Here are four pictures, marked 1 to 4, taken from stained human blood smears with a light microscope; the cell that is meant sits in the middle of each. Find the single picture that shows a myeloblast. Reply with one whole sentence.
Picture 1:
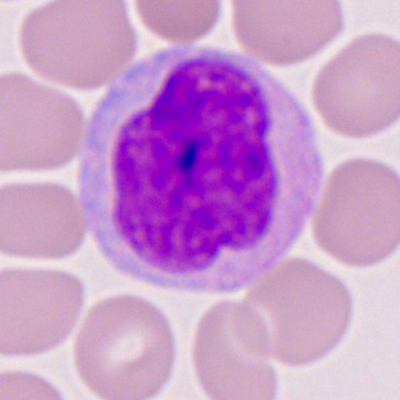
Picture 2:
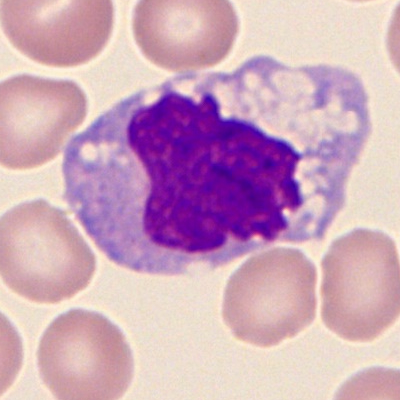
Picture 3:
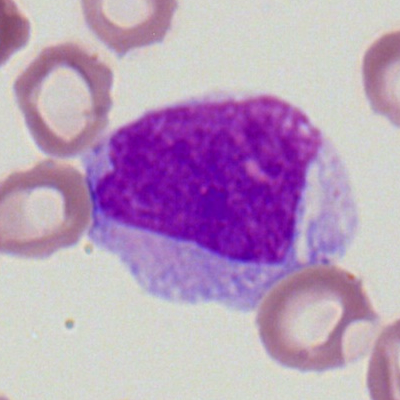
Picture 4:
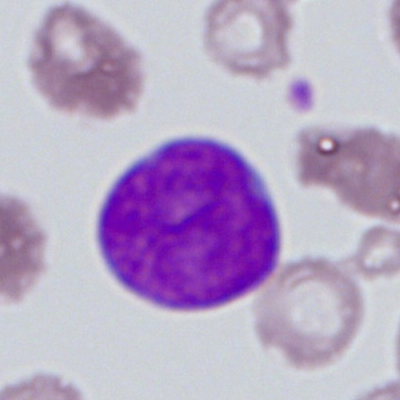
The picture with the myeloblast is 4.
